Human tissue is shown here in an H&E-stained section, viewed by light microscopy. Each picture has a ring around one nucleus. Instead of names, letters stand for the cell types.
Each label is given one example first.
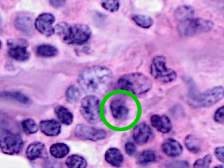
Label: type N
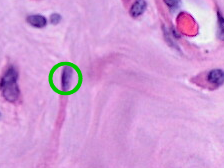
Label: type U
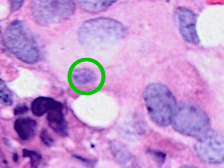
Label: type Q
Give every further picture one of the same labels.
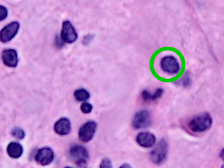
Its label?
type N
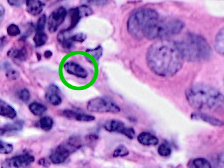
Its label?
type N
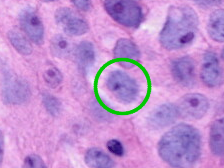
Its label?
type Q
